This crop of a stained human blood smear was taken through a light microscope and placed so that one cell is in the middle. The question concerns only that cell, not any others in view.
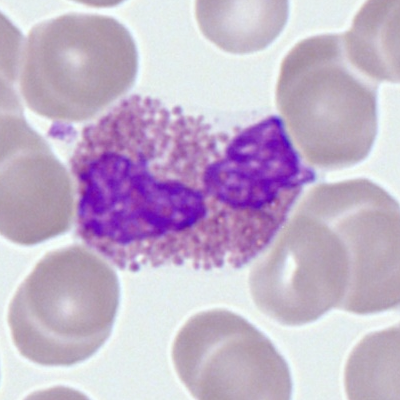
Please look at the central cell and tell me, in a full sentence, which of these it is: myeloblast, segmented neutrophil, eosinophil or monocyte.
The cell featured at the centre of this crop is an eosinophil.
